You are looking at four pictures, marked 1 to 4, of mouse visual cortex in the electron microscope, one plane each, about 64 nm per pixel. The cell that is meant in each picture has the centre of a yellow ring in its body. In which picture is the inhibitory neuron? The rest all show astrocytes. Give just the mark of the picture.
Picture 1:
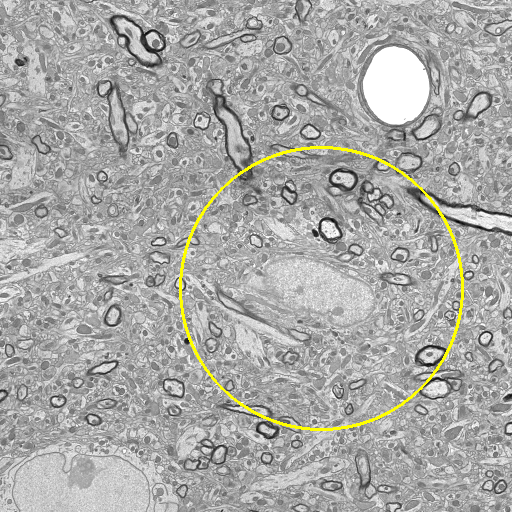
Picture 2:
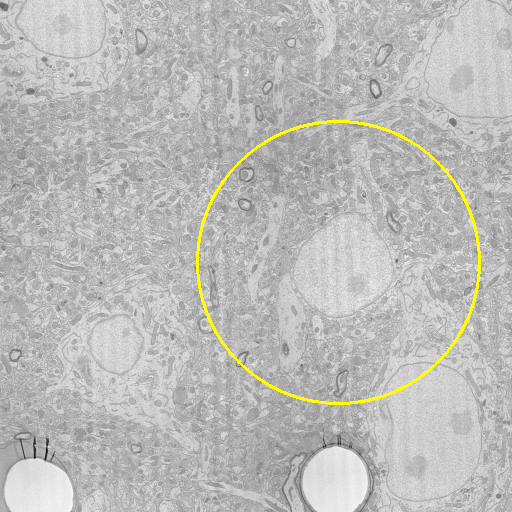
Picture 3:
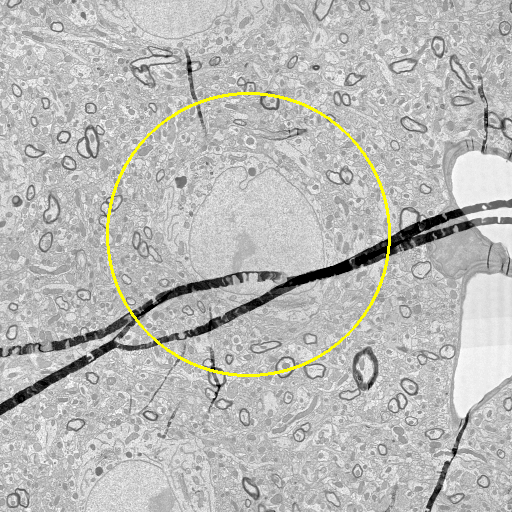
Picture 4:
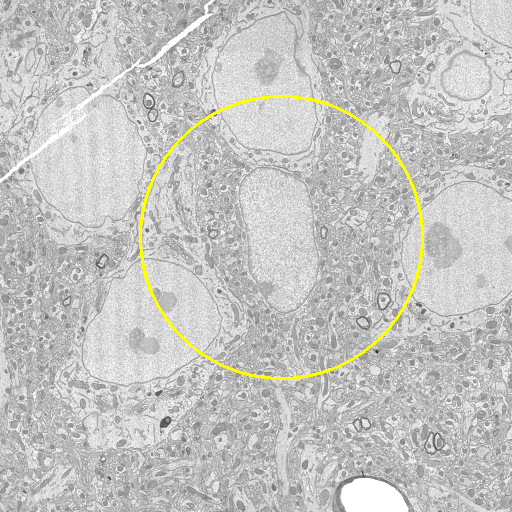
3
